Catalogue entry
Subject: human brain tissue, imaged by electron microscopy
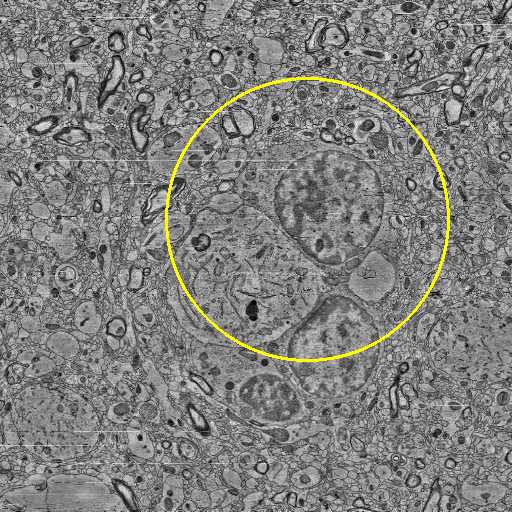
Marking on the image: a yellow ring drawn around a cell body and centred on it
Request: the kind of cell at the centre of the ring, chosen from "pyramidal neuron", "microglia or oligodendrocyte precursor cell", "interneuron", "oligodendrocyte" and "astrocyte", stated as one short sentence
The ring has an oligodendrocyte at its centre.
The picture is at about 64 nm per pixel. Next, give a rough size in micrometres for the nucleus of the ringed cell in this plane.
Approximately 7 micrometres across, in this plane.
